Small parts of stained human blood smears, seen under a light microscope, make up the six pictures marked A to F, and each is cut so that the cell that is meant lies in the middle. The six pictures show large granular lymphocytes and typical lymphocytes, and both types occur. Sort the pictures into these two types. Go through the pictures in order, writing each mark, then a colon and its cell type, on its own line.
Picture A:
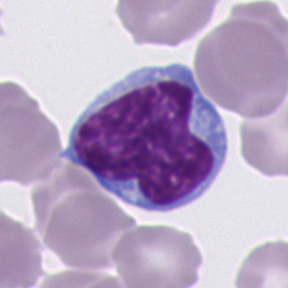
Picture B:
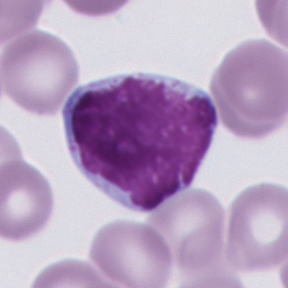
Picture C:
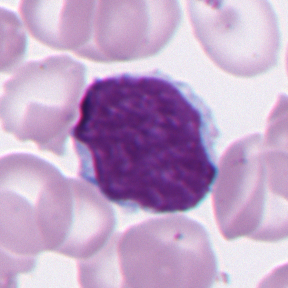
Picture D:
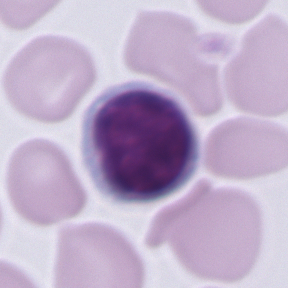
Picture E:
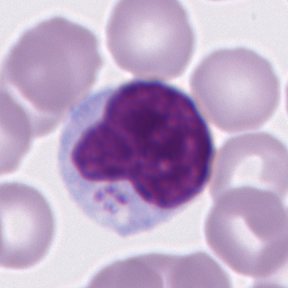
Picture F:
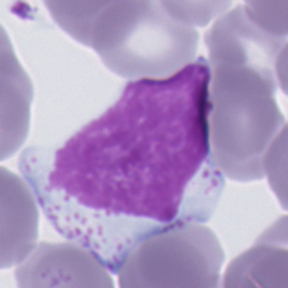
A: typical lymphocyte
B: large granular lymphocyte
C: typical lymphocyte
D: typical lymphocyte
E: large granular lymphocyte
F: large granular lymphocyte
